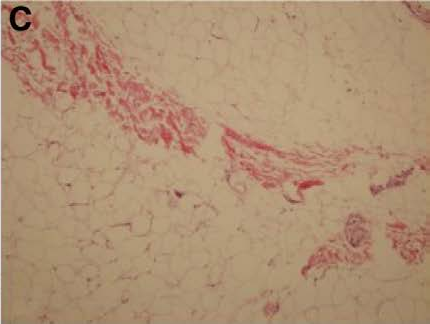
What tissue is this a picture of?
Adipose tissue.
